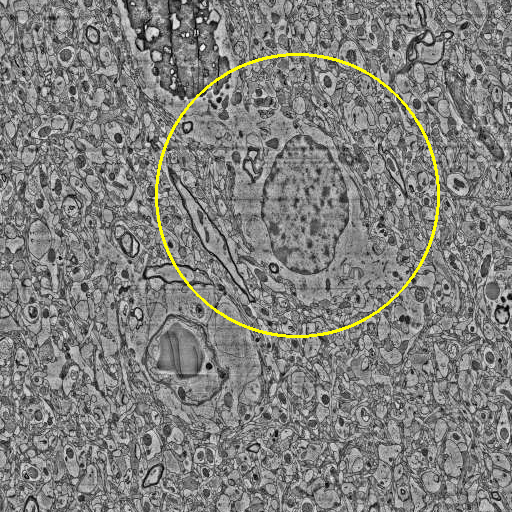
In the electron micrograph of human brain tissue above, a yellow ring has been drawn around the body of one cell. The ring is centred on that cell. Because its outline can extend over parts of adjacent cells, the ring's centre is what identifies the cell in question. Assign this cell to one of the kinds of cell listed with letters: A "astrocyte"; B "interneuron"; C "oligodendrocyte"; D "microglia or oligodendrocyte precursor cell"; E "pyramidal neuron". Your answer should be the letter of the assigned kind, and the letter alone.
A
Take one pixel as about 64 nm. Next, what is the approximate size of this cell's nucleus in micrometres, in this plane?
The ringed cell's nucleus is about 9 micrometres long and 6 micrometres wide in this plane.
